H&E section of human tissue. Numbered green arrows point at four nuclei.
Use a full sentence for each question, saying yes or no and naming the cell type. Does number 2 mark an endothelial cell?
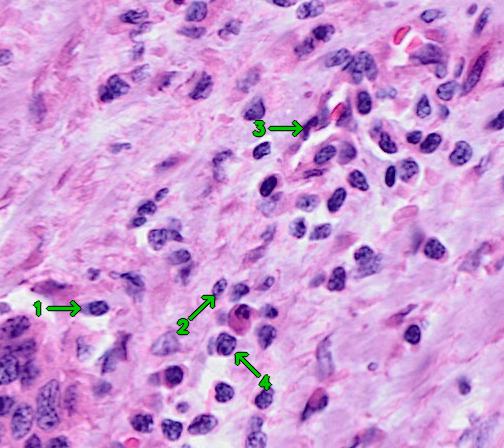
No, the cell denoted 2 is a lymphocyte rather than an endothelial cell.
